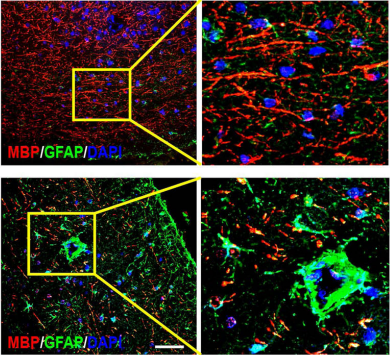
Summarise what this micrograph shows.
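In the upper images the red fibres are plentiful and the green astrocyte processes are fine and sparse. In the lower images the red fibres are fewer and fragmented, while the astrocytes are enlarged, with thick green processes that gather into a large cluster around several nuclei.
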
